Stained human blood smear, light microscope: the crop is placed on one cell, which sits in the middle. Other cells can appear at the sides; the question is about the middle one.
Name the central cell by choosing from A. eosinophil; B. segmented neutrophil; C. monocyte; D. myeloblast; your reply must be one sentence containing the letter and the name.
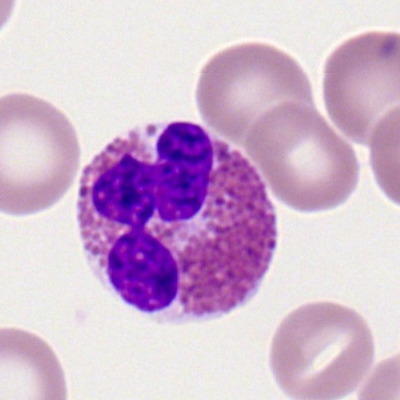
The middle of the crop contains an eosinophil, so option A is right.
